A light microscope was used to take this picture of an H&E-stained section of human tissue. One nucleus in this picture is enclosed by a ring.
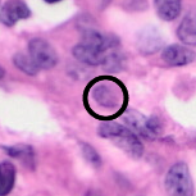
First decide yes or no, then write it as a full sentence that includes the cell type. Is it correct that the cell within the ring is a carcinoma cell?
No, the cell within the ring is regarded as a macrophage or monocyte rather than a carcinoma cell.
